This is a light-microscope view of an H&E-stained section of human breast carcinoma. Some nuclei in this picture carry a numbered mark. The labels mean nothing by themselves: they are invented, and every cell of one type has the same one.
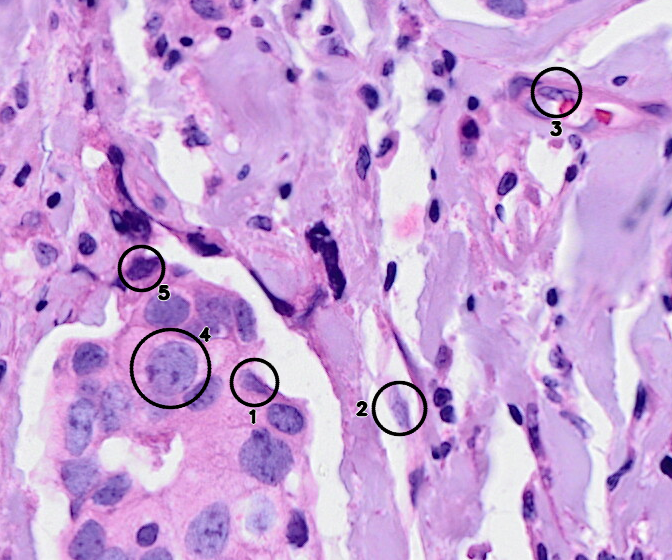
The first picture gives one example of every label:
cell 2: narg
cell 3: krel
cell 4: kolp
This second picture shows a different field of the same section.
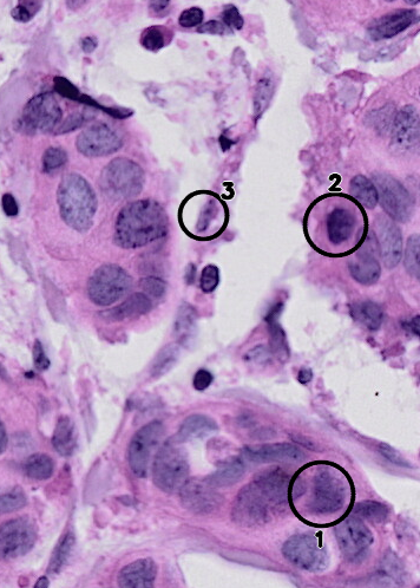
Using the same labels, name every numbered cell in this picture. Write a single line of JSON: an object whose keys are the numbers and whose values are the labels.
{"1": "kolp", "2": "kolp", "3": "narg"}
